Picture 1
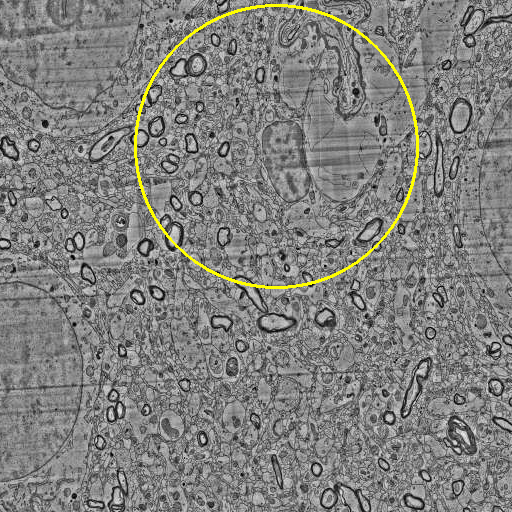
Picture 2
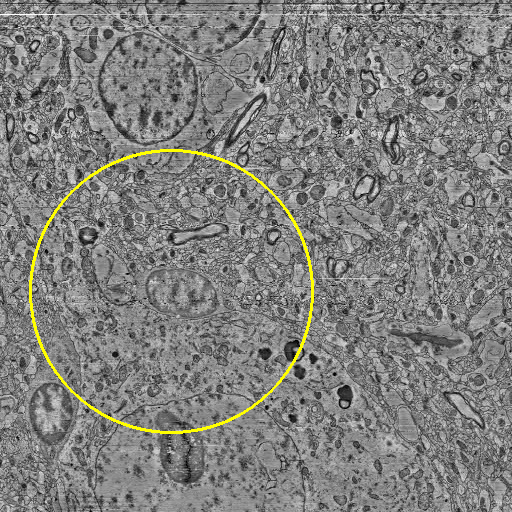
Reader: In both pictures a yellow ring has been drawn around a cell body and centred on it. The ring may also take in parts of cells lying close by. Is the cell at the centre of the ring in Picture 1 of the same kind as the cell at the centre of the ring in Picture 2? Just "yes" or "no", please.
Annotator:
no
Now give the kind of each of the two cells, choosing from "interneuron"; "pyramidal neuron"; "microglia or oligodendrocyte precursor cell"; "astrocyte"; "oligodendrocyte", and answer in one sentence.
The cell in the first picture is a microglial cell or oligodendrocyte precursor cell, and the cell in the second is an oligodendrocyte.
